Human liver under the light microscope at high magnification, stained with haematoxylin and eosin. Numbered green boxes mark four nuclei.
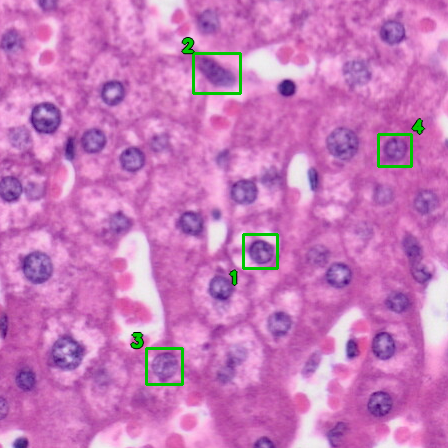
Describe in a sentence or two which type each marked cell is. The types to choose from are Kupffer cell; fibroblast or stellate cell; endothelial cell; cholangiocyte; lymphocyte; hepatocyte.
Cell 1 is a hepatocyte, cell 2 is a Kupffer cell, cell 3 is a hepatocyte and cell 4 is a hepatocyte.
